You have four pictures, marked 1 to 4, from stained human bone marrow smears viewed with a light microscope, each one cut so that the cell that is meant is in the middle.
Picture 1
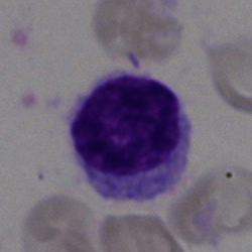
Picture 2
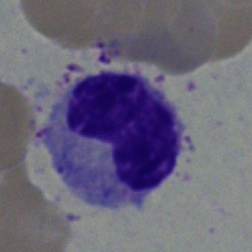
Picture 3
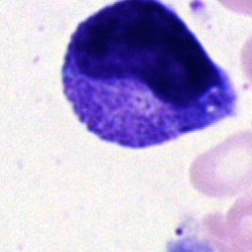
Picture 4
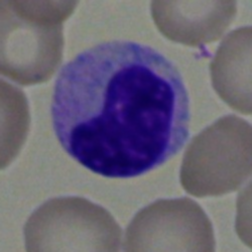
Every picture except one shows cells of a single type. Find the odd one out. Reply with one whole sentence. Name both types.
The different one is picture 1; it shows a hairy cell, whereas all the others show metamyelocytes.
